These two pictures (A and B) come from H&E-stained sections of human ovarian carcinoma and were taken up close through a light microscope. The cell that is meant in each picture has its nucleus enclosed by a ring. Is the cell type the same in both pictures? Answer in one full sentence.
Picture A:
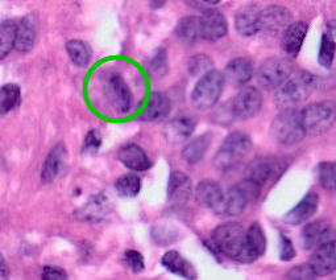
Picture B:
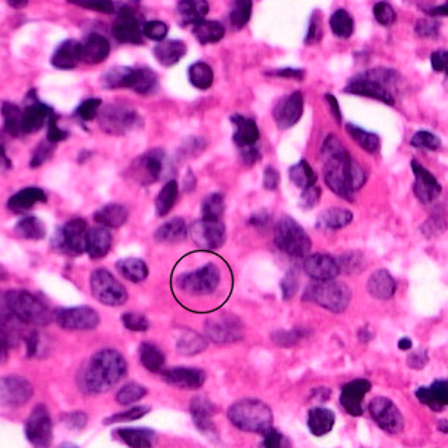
No. Picture A shows a carcinoma cell, but picture B shows a “macrophage or monocyte”.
